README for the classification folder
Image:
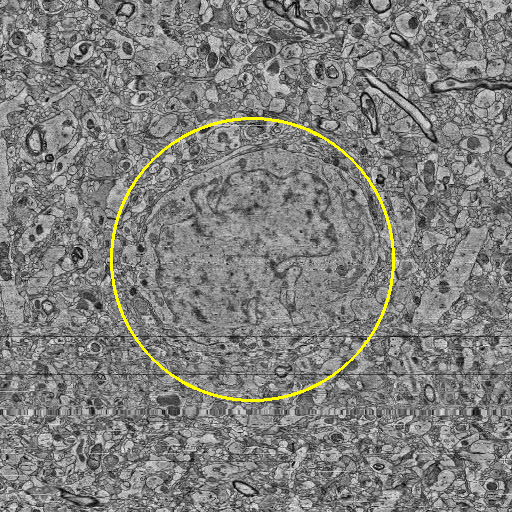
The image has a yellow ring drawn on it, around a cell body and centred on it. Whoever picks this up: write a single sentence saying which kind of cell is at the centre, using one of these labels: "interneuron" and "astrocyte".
This cell body is that of an interneuron.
